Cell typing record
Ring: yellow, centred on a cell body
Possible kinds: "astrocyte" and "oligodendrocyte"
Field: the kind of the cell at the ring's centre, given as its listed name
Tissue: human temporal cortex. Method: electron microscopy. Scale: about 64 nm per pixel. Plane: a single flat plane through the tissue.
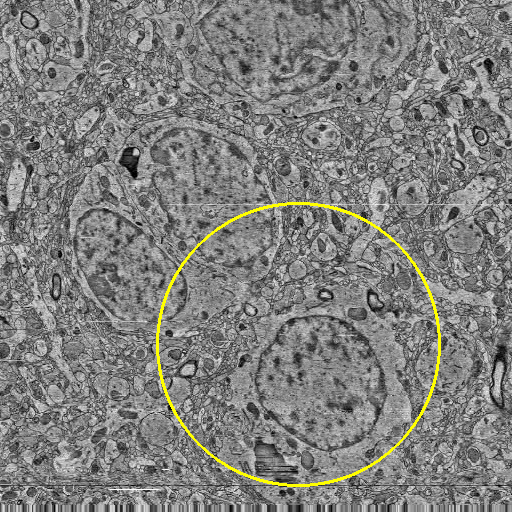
astrocyte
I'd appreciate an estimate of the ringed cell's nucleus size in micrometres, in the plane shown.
About 8 micrometres across in this plane, for the nucleus.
